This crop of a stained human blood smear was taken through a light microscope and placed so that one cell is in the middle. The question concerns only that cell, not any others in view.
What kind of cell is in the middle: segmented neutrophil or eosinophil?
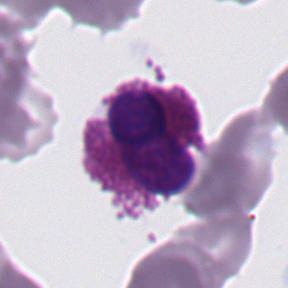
eosinophil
